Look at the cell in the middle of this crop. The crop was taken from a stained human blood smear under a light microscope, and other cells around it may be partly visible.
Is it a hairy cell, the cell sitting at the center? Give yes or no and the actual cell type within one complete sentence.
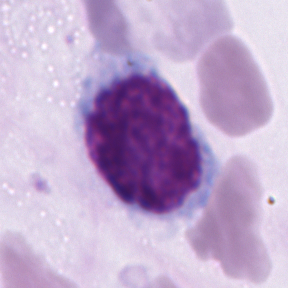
Yes, the cell at the heart of the crop is a hairy cell.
